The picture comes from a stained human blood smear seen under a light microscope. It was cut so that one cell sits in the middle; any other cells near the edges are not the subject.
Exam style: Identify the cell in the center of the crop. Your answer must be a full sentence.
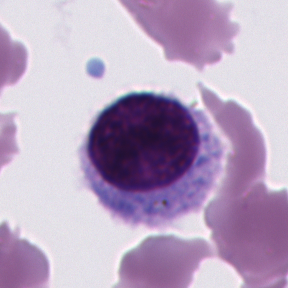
Occupying the centre of the crop is a hairy cell.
